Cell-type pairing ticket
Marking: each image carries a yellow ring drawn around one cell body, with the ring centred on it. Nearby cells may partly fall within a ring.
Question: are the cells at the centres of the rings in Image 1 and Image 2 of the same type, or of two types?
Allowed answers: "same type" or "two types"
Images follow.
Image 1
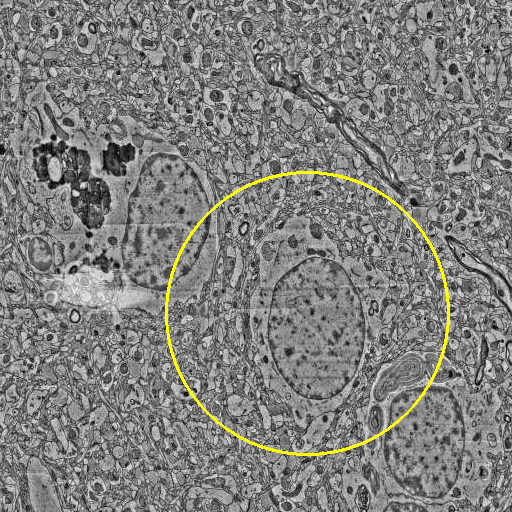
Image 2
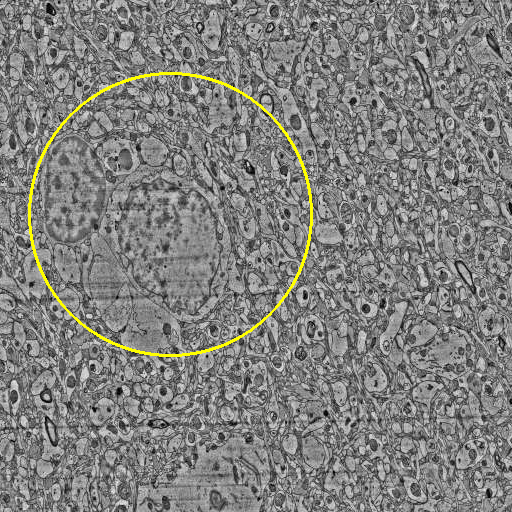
two types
